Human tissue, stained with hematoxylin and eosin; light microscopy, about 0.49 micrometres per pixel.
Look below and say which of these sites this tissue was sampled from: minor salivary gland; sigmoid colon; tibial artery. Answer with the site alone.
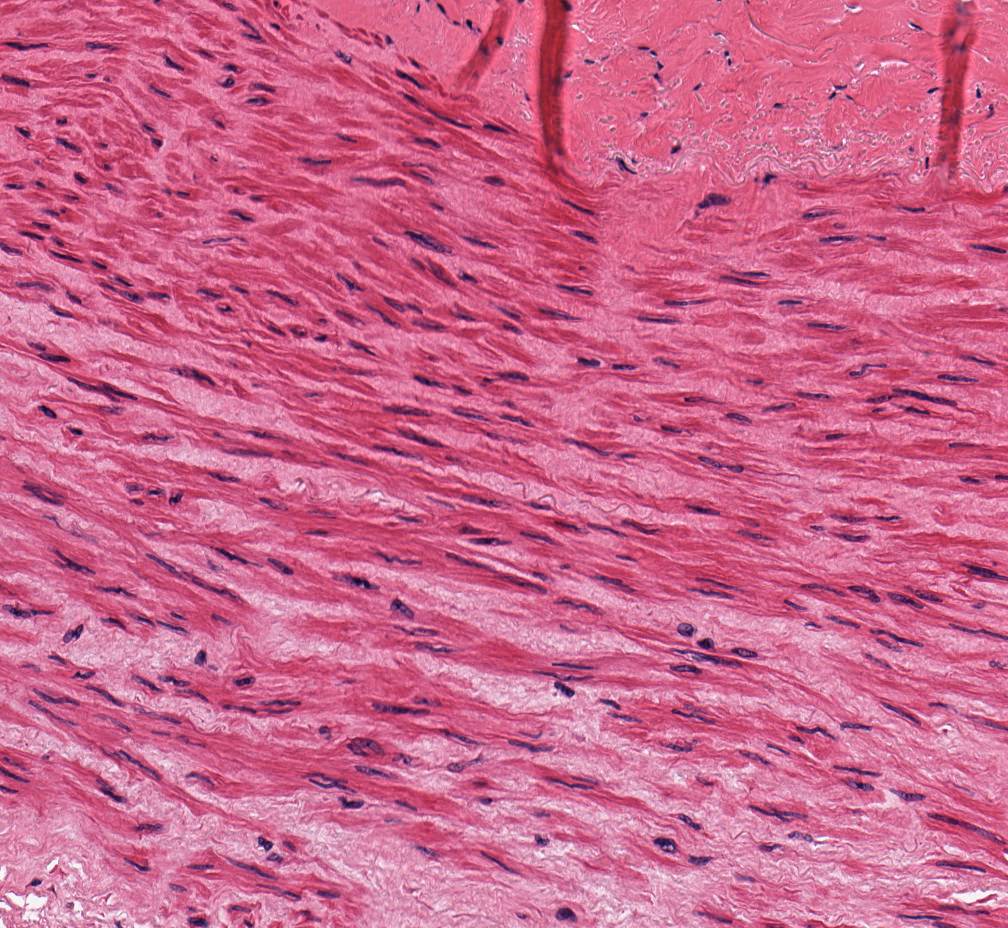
tibial artery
